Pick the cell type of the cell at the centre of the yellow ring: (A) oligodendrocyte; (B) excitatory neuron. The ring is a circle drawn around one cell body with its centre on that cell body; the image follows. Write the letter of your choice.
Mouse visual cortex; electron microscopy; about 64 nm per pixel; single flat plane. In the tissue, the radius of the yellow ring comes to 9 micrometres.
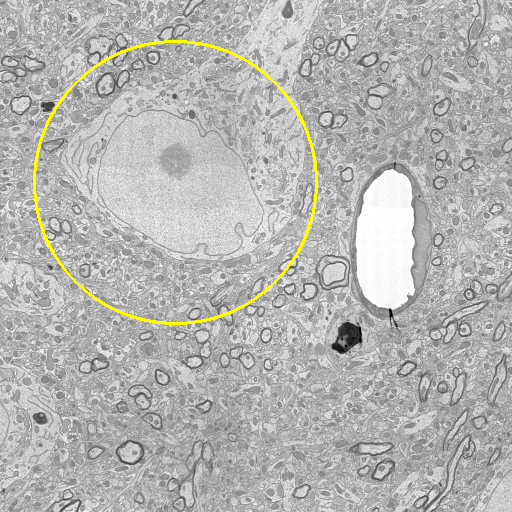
B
